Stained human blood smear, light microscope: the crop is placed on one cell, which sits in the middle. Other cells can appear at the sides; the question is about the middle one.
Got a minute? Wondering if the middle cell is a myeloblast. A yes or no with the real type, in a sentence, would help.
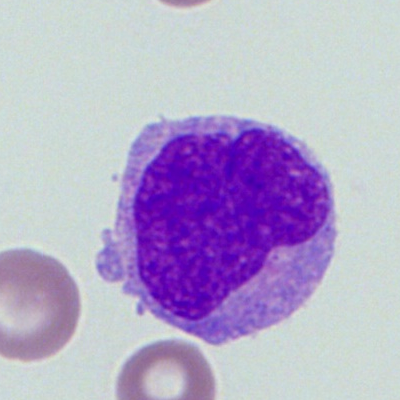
Yes, the centred cell is categorised as a myeloblast.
